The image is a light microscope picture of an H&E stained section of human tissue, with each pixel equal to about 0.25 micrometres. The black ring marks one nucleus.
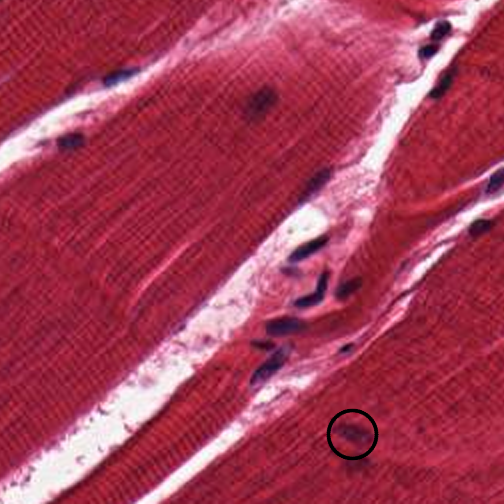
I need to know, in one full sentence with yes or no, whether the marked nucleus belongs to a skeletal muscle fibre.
Yes, the marked nucleus is the nucleus of a skeletal muscle fibre.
